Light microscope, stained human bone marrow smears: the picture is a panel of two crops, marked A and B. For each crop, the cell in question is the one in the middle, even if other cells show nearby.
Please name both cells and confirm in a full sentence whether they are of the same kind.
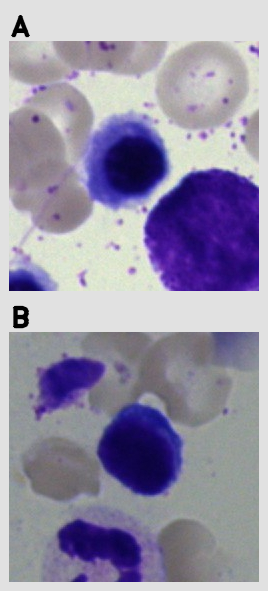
No, crop A depicts a normoblast, and crop B depicts a lymphocyte.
